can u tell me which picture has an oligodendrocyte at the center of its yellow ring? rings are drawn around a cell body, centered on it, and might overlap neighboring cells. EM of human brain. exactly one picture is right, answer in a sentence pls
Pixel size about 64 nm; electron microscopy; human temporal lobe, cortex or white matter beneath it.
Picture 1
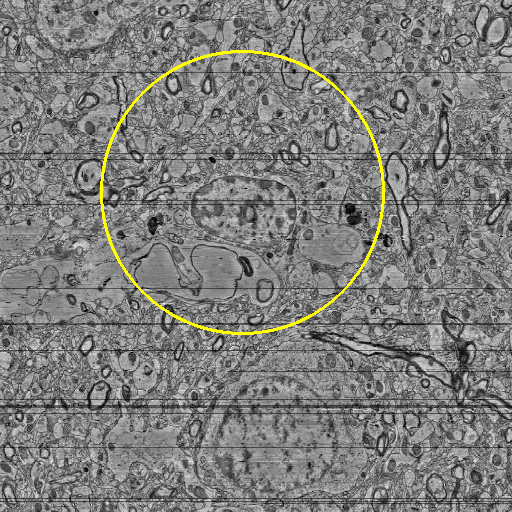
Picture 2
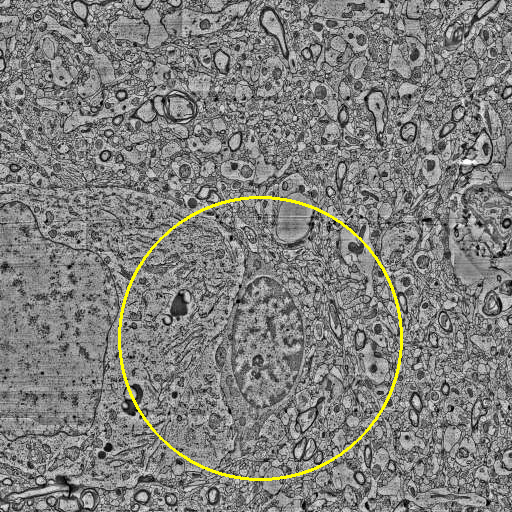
Picture 2 is the one.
